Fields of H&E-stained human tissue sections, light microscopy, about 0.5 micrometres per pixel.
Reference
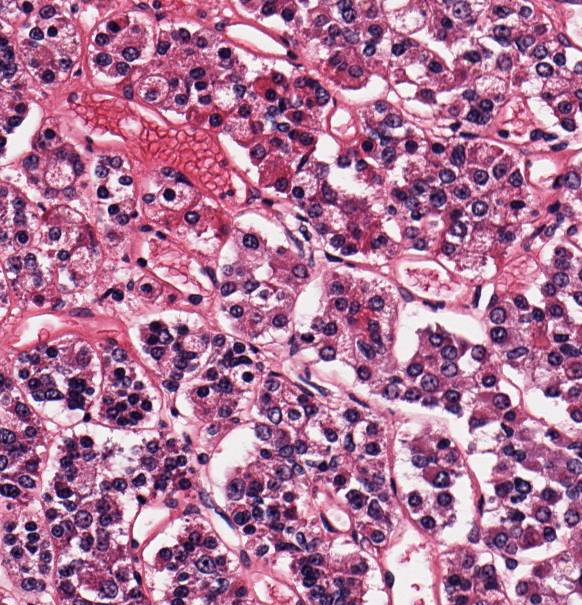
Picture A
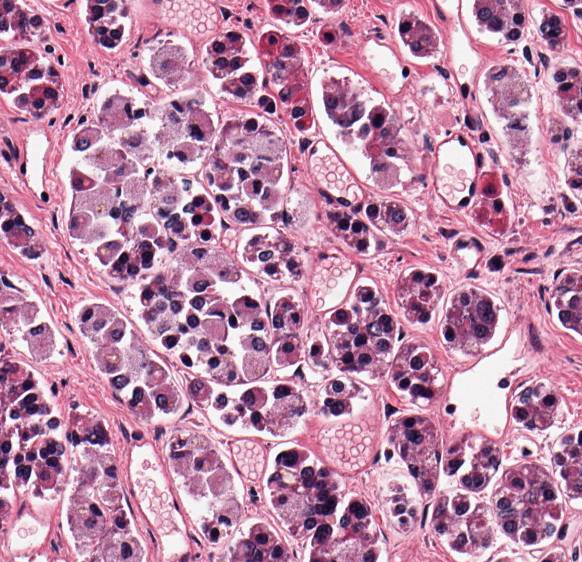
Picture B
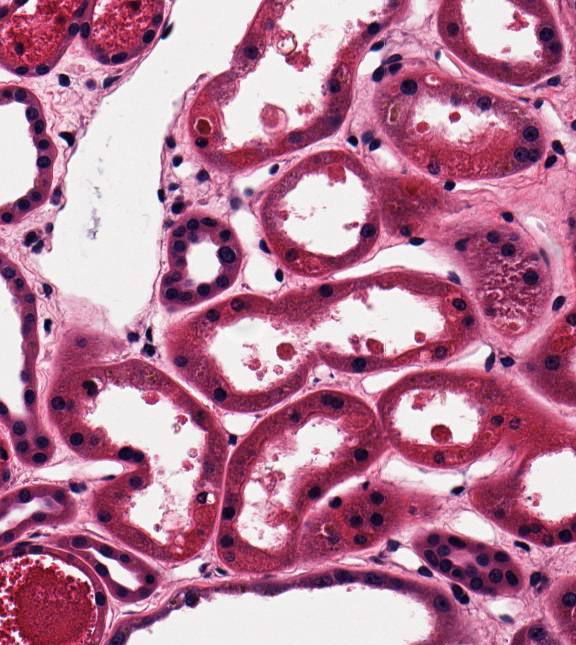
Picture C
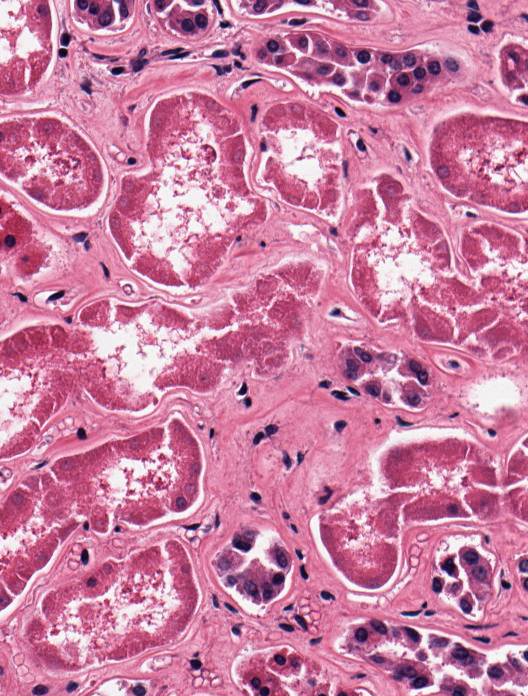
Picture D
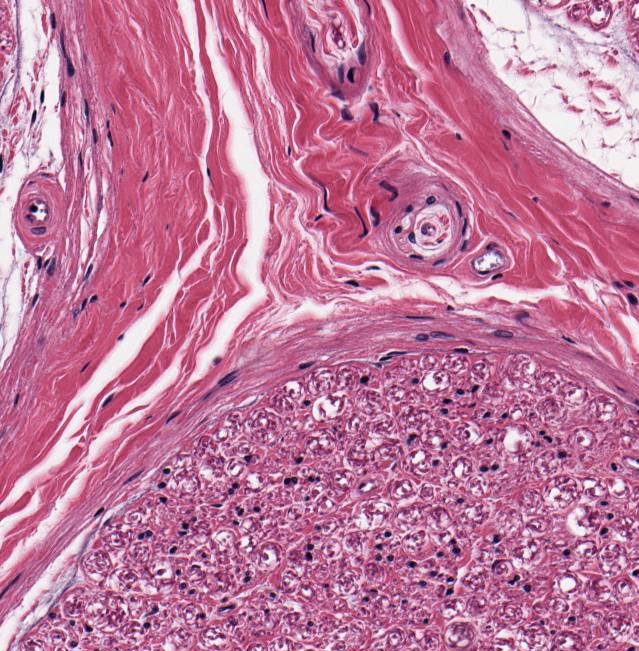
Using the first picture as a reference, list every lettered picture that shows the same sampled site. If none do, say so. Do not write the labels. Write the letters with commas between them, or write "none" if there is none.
A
